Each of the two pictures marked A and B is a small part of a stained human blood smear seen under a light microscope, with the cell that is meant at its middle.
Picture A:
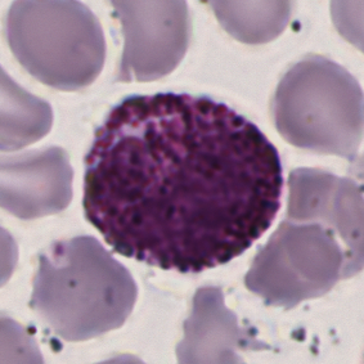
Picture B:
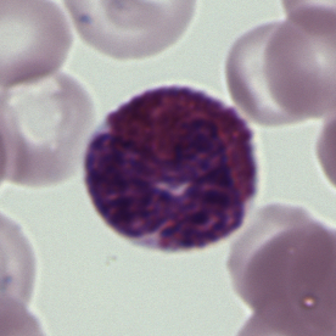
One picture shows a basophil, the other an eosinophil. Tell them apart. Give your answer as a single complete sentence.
The cell in picture A is a basophil, and the one in picture B is an eosinophil.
